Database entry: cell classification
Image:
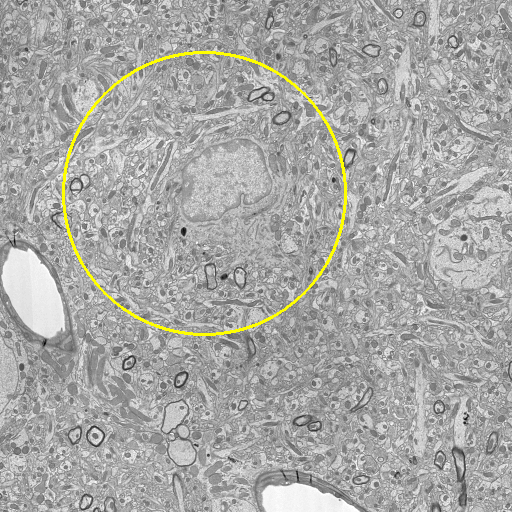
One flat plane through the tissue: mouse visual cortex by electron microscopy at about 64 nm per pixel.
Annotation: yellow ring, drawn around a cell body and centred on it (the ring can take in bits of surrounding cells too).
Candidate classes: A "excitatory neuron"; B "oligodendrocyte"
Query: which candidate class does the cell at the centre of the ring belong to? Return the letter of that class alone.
B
